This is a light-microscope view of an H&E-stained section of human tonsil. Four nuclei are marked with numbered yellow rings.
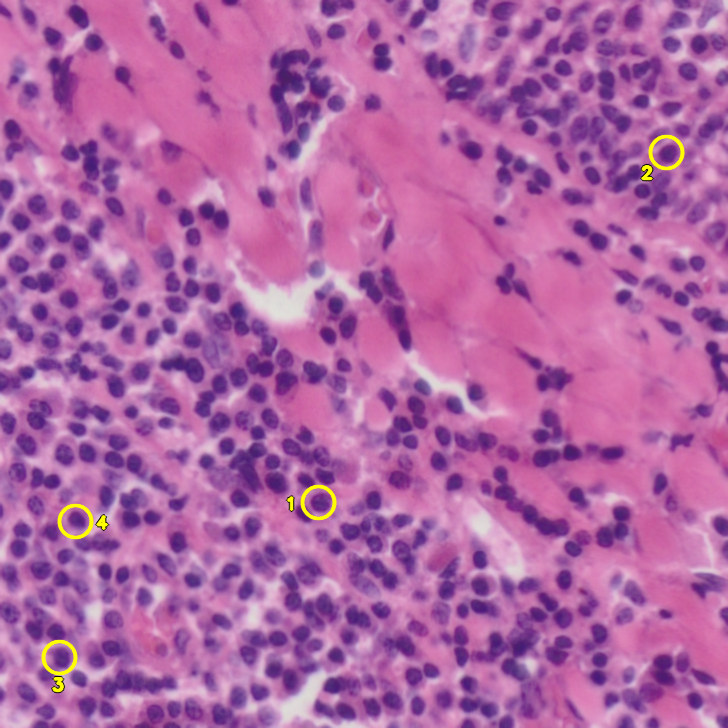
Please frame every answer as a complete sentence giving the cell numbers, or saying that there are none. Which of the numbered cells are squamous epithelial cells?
Among the numbered nuclei, only the one labelled 2 belongs to a squamous epithelial cell.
